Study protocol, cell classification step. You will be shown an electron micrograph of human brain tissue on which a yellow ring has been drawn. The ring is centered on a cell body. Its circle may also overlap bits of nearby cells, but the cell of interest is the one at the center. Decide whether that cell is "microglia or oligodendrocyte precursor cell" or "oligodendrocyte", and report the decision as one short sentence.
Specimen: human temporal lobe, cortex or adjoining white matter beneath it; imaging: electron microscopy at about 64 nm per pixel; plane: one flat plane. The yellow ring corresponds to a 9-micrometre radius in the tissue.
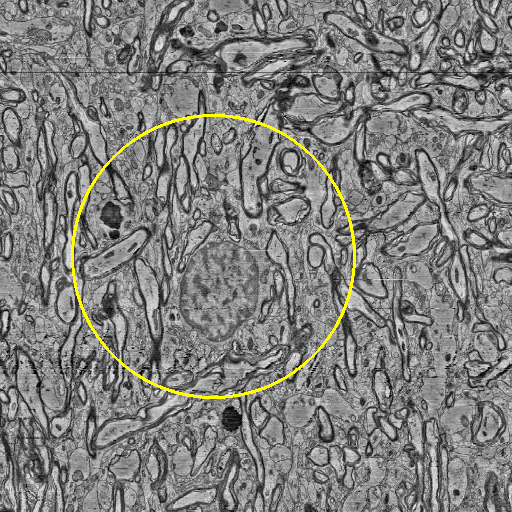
The marked cell is an oligodendrocyte.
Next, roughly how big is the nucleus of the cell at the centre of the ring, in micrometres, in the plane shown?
The nucleus measures about 7 by 5 micrometres, so it is clearly longer than it is wide in this plane.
